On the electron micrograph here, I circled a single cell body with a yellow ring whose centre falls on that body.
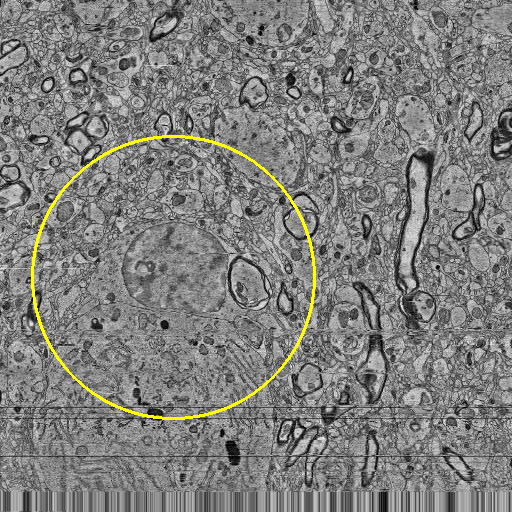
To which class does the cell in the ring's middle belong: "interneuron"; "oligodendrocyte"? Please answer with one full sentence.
In this picture, the cell body circled at the ring's centre belongs to an oligodendrocyte.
